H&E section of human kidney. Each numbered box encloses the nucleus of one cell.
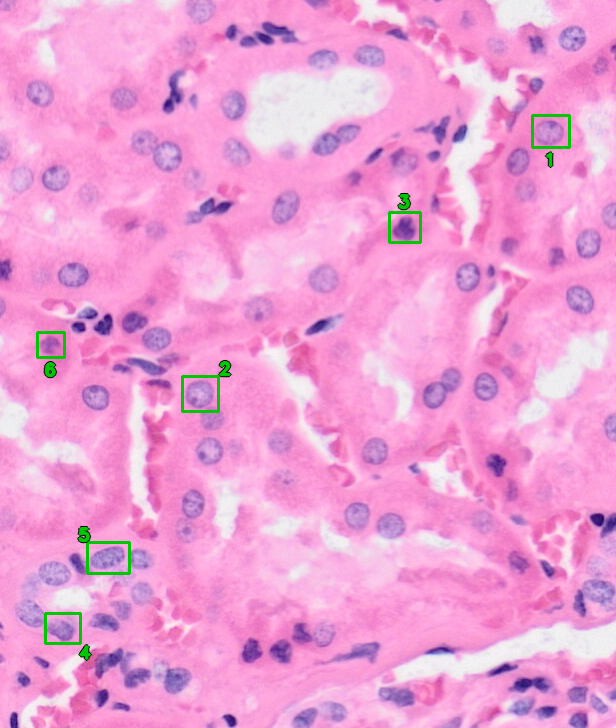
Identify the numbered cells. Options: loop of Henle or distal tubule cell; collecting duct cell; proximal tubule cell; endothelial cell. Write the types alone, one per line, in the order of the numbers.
proximal tubule cell
proximal tubule cell
proximal tubule cell
collecting duct cell
collecting duct cell
proximal tubule cell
